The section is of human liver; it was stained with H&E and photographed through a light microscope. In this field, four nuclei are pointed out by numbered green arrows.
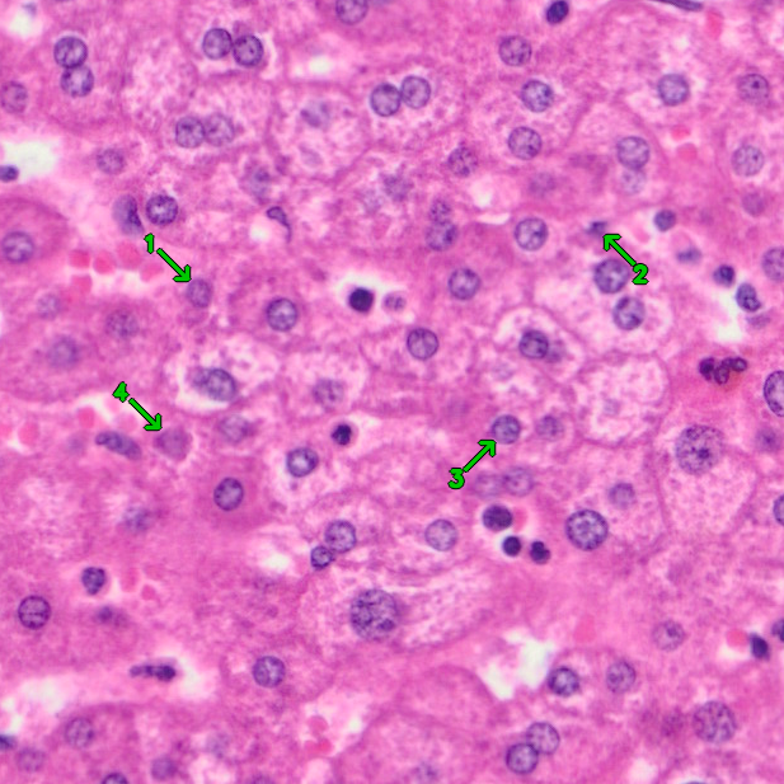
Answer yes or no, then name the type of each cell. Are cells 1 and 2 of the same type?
No, cell 1 is a hepatocyte; cell 2 is a fibroblast or stellate cell.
